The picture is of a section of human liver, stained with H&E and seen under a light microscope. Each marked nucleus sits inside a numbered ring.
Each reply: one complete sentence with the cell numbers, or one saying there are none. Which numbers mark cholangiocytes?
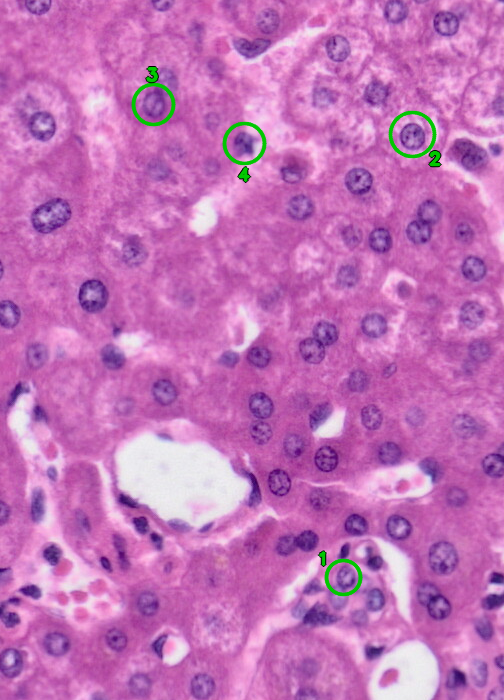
Just the cell marked 1 is a cholangiocyte; none of the other marked cells is.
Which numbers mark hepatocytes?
So, the cells with numbers 2 and 3 are hepatocytes.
